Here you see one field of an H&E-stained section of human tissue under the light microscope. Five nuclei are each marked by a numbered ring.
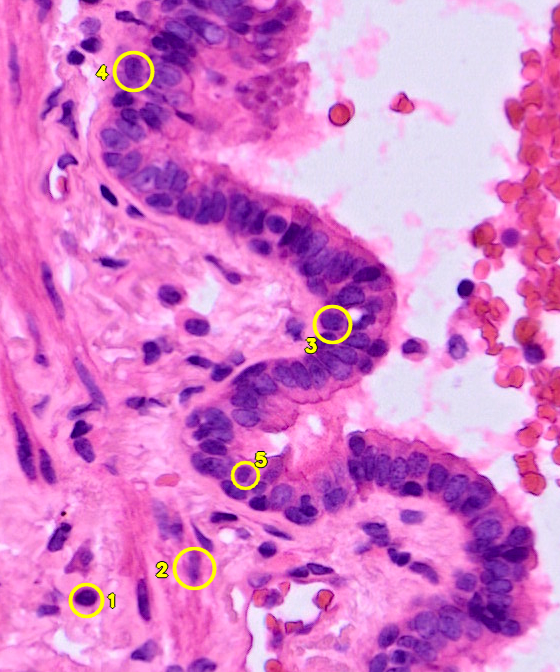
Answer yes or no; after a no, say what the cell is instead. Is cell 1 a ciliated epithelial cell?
No, it is a mast cell.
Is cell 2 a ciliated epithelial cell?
No, it is a smooth muscle cell or pericyte.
